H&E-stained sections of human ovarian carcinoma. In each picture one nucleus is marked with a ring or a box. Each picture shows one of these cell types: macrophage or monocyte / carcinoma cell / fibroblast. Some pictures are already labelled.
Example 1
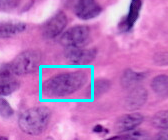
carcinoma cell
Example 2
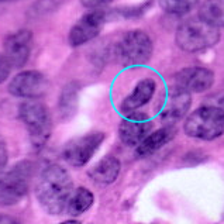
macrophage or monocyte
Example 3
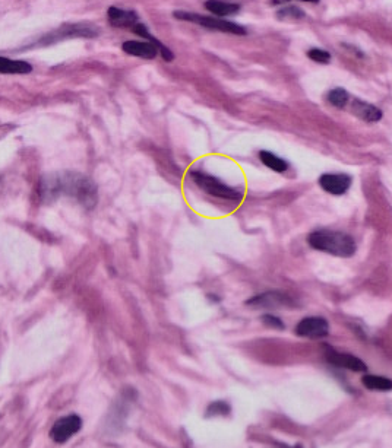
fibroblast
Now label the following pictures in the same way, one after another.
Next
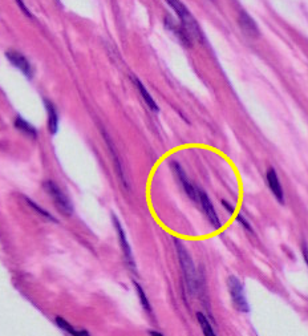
fibroblast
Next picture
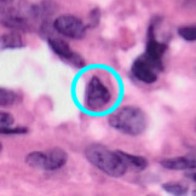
macrophage or monocyte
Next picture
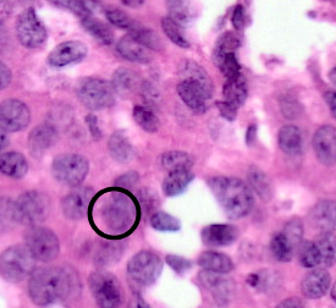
carcinoma cell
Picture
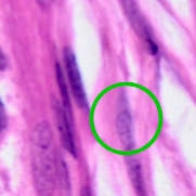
fibroblast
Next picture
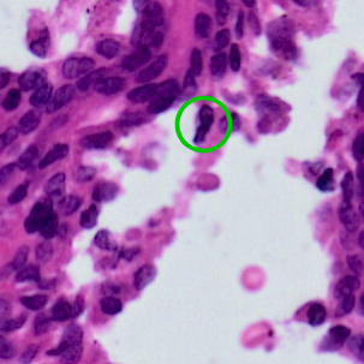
macrophage or monocyte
